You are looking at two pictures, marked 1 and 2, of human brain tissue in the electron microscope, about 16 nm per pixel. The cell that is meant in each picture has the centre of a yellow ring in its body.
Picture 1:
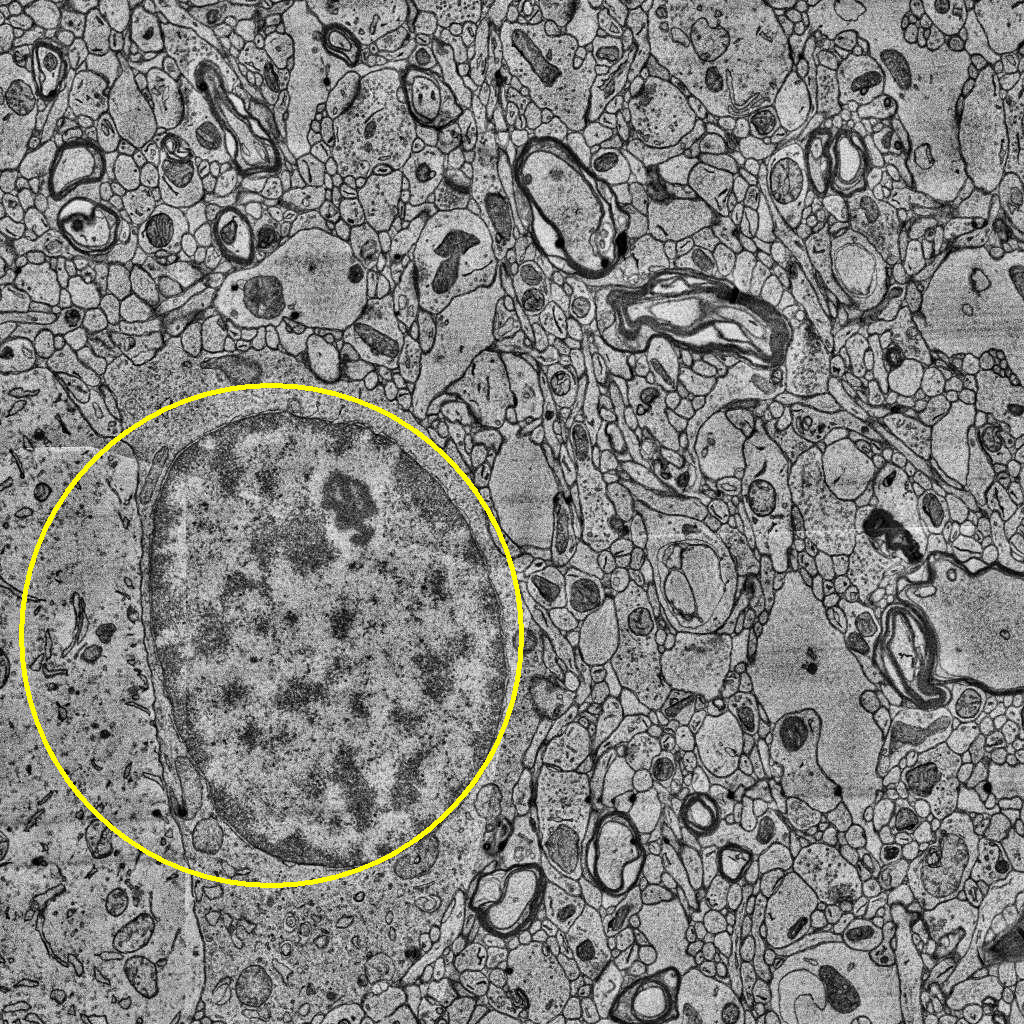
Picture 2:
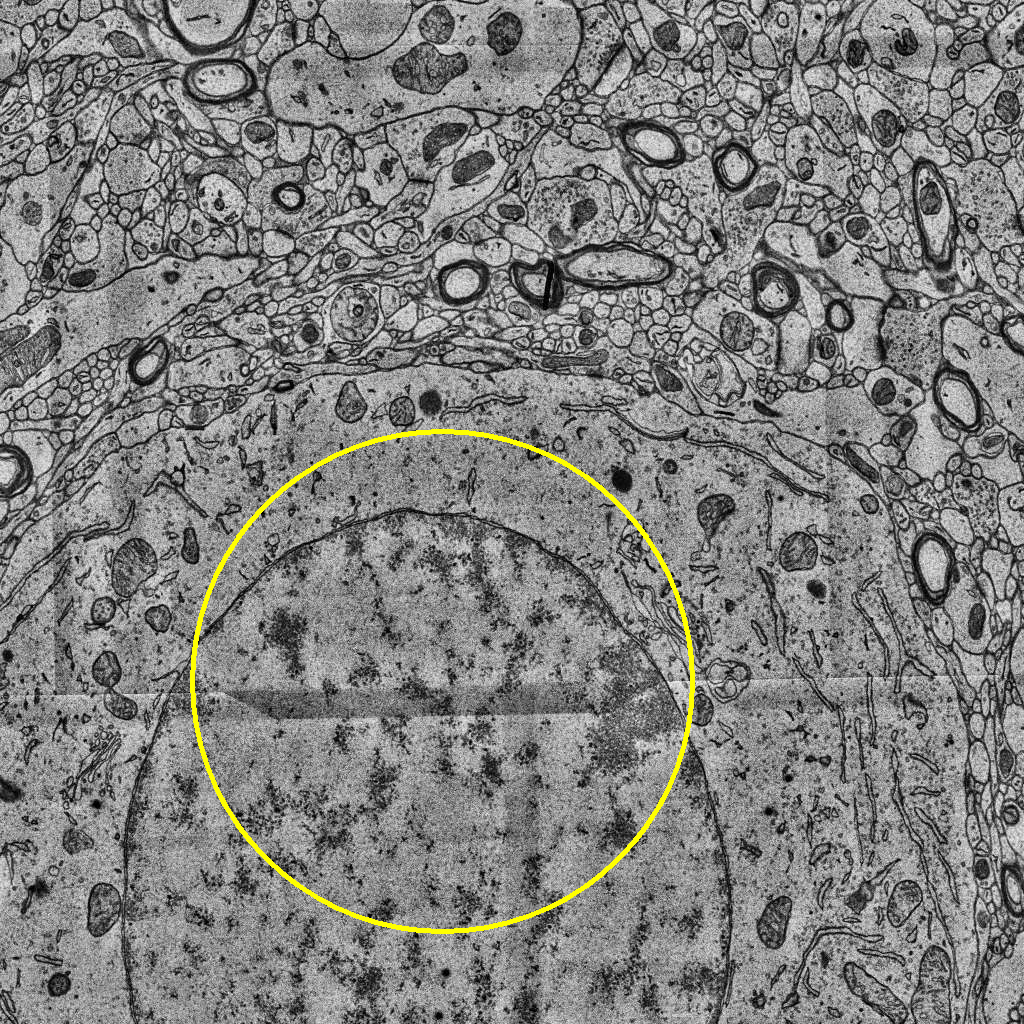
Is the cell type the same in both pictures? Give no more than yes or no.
no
